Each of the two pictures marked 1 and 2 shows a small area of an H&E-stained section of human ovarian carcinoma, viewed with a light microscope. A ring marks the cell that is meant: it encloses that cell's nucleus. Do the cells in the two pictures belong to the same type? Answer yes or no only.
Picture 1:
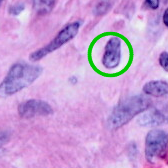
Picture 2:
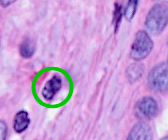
yes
